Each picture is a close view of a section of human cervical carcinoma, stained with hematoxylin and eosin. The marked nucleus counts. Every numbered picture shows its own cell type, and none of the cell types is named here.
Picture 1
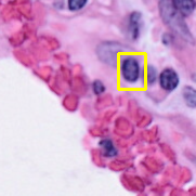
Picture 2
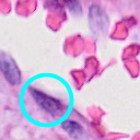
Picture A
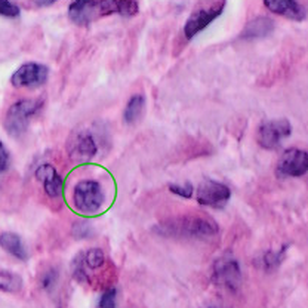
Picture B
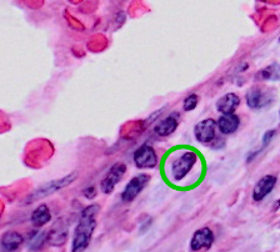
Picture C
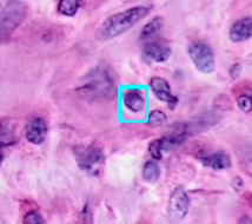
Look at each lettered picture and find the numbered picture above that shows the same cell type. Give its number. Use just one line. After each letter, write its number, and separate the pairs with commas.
A 1, B 1, C 1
